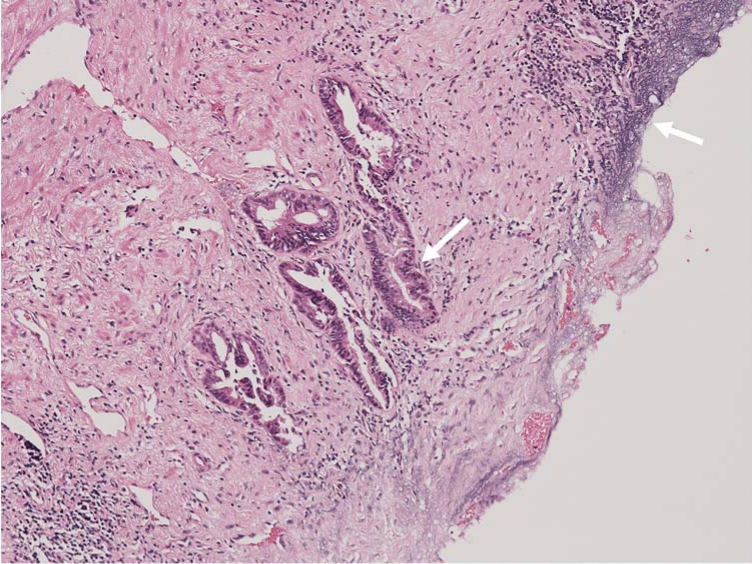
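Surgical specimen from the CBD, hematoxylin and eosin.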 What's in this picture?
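This shows the bile duct wall with a well-differentiated adenocarcinoma: several tubular, somewhat angulated glands sit within a pale pink, fibrous stroma. The glands are lined by tall columnar cells whose nuclei are dark purple, elongated and crowded, piling up along the lining, while the lumens stay open, some with branching outlines. Around the glands the stroma holds scattered spindle-shaped cells and small vessels. Toward the surface and along the lower left edge there are dense collections of small dark round cells, consistent with inflammatory infiltrates, and the mucosal surface itself is partly lost.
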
